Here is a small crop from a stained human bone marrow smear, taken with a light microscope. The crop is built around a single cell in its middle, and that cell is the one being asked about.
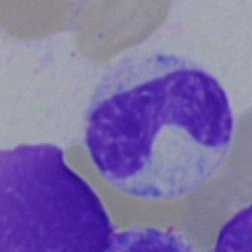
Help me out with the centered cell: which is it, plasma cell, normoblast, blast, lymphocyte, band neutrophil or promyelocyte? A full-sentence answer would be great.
The centered cell in this crop is a band neutrophil.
